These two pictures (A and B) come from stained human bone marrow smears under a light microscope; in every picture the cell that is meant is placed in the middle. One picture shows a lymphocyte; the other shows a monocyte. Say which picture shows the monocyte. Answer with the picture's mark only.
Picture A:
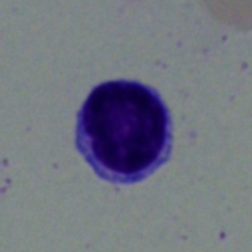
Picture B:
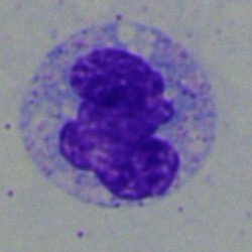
B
